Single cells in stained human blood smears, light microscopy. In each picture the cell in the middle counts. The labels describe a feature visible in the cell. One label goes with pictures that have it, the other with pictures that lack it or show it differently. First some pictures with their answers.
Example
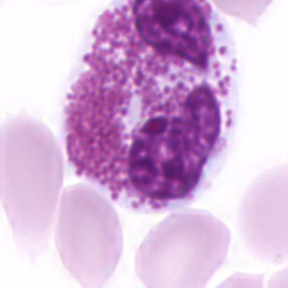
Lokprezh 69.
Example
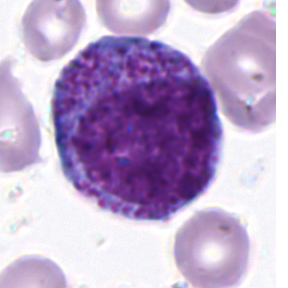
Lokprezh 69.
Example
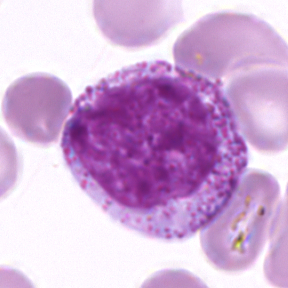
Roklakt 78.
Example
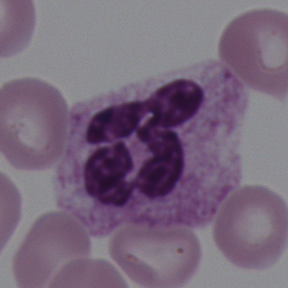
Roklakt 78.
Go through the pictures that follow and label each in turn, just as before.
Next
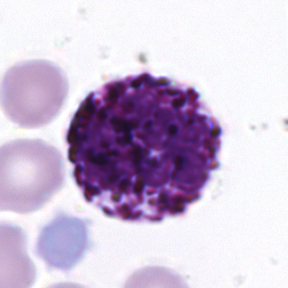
Lokprezh 69.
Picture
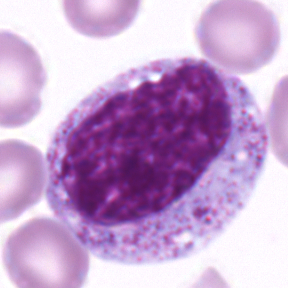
Roklakt 78.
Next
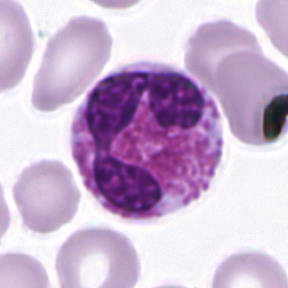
Lokprezh 69.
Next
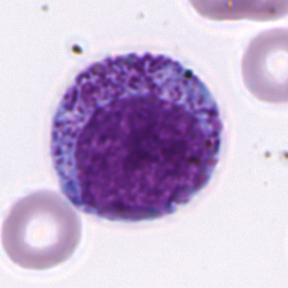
Lokprezh 69.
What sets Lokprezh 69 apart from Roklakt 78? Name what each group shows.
Lokprezh 69: coarse or large granules; Roklakt 78: fine or small granules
